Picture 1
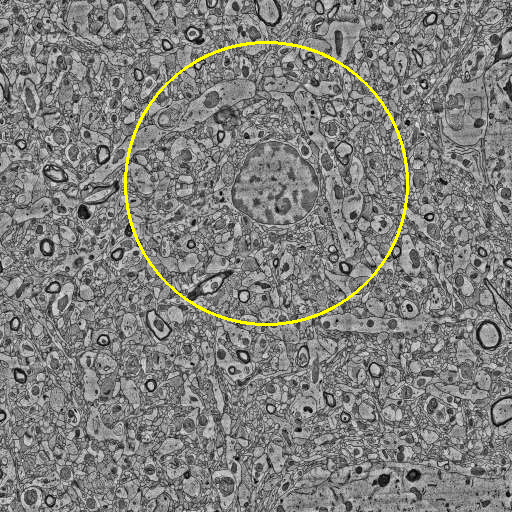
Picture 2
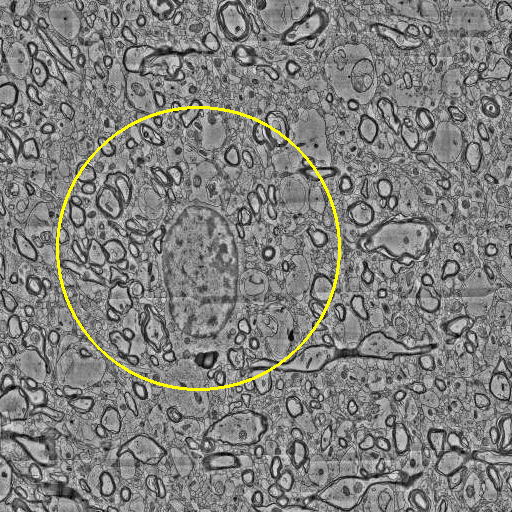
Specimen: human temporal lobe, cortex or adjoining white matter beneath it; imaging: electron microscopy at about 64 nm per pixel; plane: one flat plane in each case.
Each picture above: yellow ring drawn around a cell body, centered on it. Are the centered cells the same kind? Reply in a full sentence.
No, the two cells are two kinds of cell.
